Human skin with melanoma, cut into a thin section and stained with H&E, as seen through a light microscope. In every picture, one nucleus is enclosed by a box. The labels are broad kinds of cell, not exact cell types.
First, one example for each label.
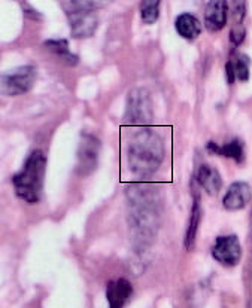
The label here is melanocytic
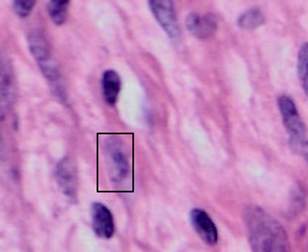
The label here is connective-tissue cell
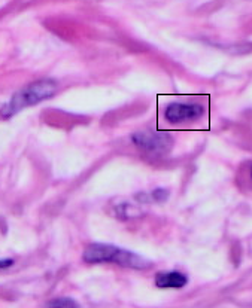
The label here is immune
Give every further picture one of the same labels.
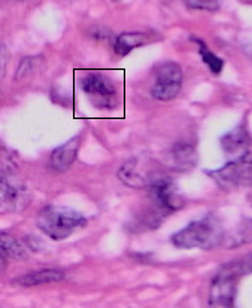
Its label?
melanocytic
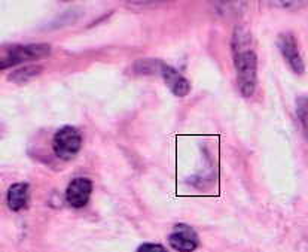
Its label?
connective-tissue cell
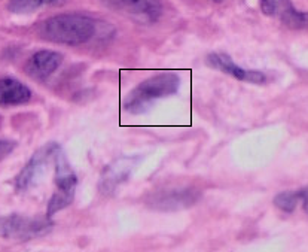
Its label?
connective-tissue cell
